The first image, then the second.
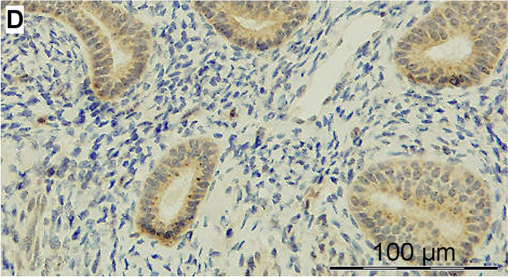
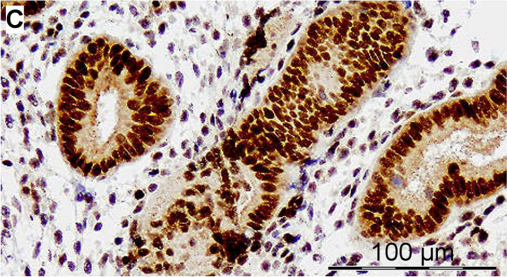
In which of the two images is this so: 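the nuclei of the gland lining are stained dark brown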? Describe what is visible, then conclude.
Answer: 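The second image. First image: gland cells have pale brown cytoplasm and blue, unstained nuclei. Second image: gland cell nuclei are densely dark brown.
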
